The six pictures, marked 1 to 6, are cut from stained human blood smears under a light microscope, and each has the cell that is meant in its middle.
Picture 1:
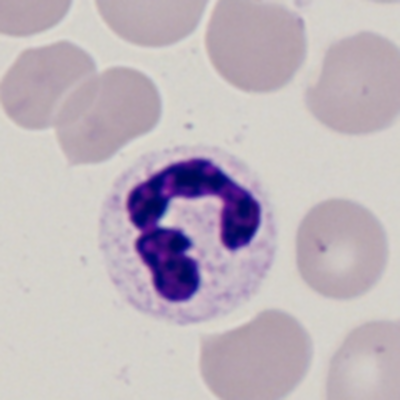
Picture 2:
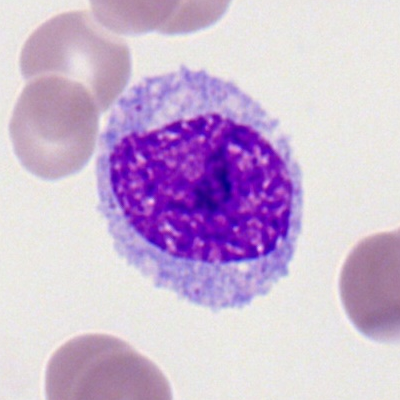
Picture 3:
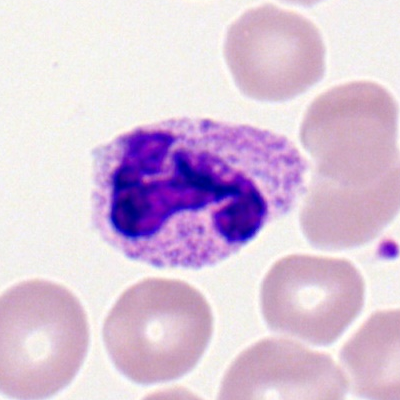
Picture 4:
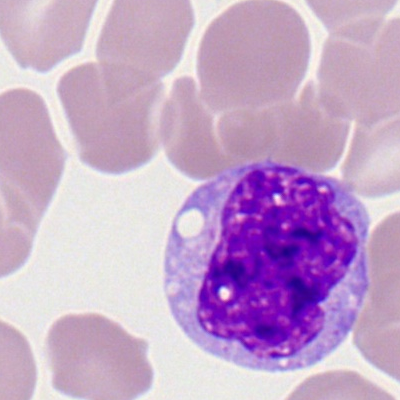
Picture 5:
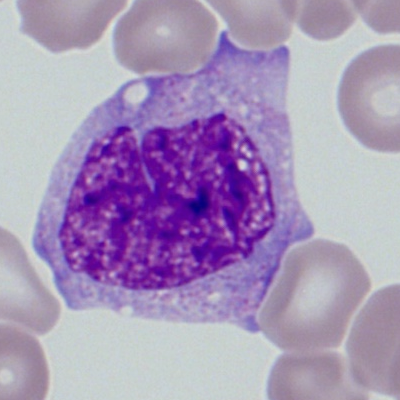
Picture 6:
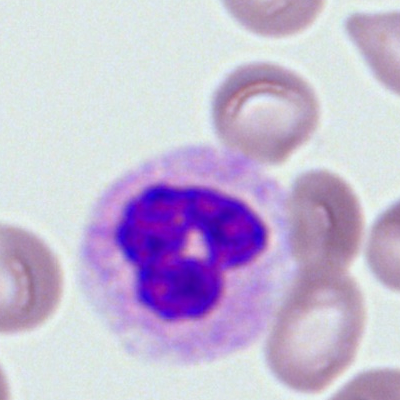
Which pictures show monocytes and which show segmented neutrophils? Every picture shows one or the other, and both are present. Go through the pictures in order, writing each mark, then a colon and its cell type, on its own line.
1: segmented neutrophil
2: monocyte
3: segmented neutrophil
4: monocyte
5: monocyte
6: segmented neutrophil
